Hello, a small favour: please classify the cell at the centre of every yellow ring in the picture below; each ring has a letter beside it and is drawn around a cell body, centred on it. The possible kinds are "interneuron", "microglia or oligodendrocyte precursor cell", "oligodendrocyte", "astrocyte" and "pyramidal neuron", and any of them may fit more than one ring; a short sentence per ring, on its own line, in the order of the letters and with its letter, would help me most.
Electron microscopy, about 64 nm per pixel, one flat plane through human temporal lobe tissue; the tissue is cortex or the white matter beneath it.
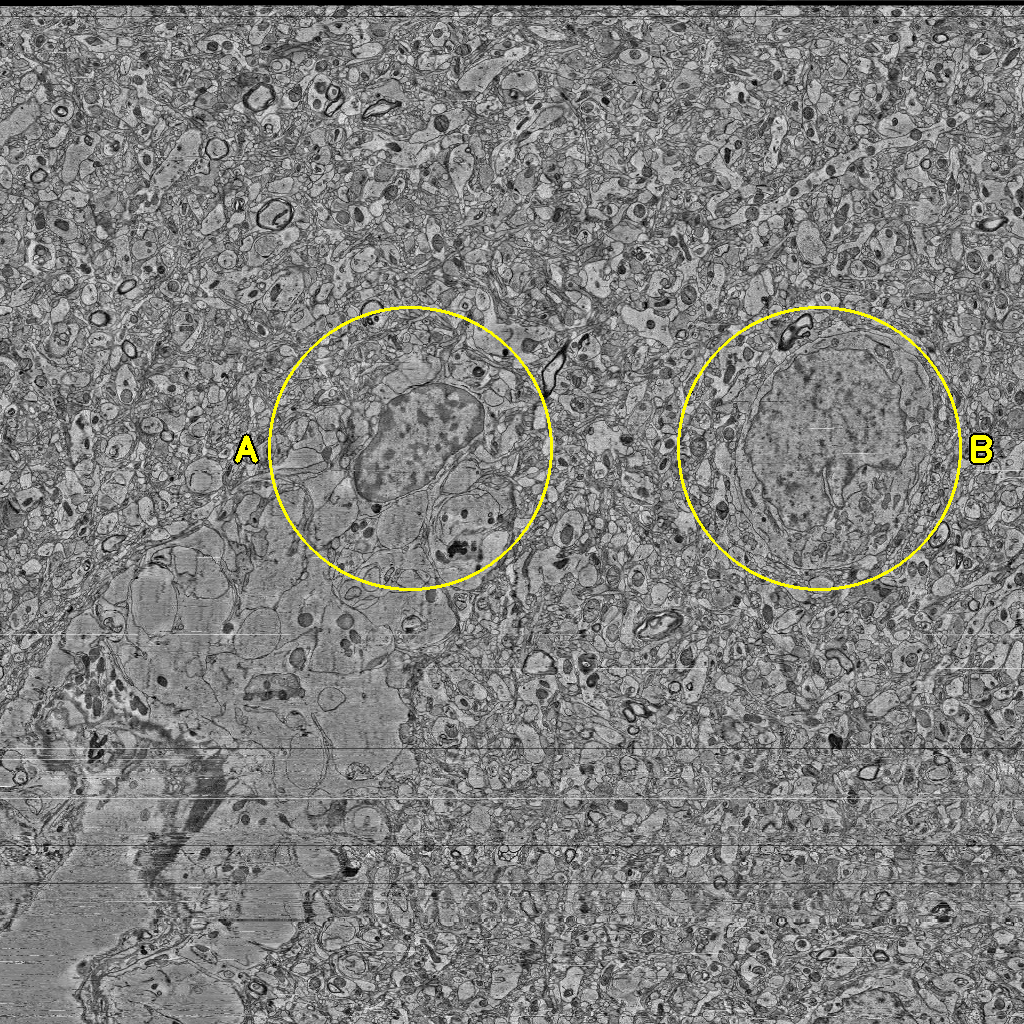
The centre of ring A falls on a microglial cell or oligodendrocyte precursor cell.
The centre of ring B falls on an interneuron.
